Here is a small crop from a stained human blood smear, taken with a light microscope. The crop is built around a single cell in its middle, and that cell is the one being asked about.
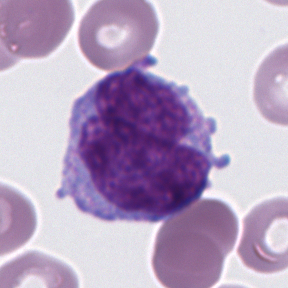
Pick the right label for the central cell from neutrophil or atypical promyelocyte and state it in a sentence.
The cell marked by its central position in the crop is an atypical promyelocyte.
